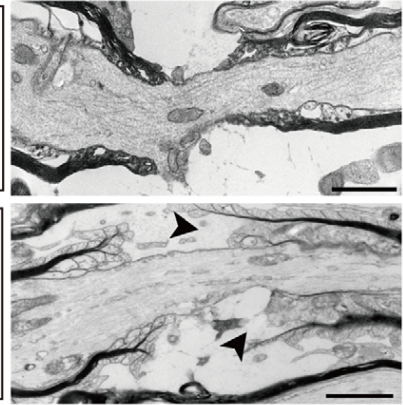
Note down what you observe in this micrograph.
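These electron micrographs show myelinated axons in longitudinal section at a node of Ranvier. The axon runs horizontally, its axoplasm filled with longitudinally aligned filaments and scattered mitochondria. Dark, compact myelin sheaths lie above and below the axon and end at the paranodal regions flanking the node. In the lower image the myelin near the node is separated from the axon by pale spaces, and thin membranous loops lie loosely near the axon surface.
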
